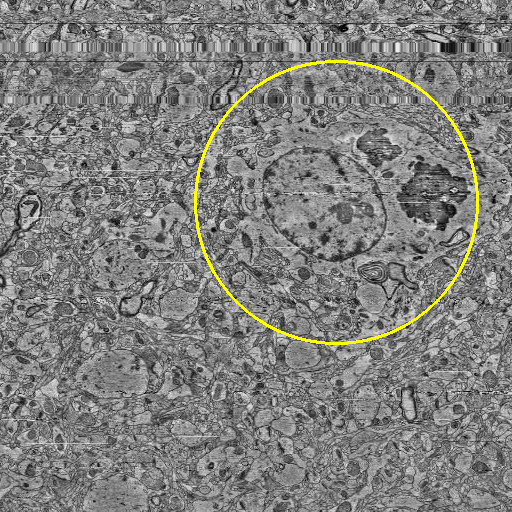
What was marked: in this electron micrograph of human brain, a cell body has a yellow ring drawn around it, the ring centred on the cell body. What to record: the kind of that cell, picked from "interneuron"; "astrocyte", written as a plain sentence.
The centred cell is an astrocyte.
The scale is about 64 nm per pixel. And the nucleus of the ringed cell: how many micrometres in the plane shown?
The nucleus measures about 8 by 7 micrometres in this plane.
